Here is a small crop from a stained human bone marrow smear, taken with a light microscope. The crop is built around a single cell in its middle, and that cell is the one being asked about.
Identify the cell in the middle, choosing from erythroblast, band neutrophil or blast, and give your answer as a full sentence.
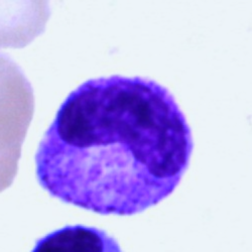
The cell centred in this crop is categorized as a band neutrophil.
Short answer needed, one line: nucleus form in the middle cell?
Between us, the nucleus here is just one compact mass, round, oval or kidney-shaped.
